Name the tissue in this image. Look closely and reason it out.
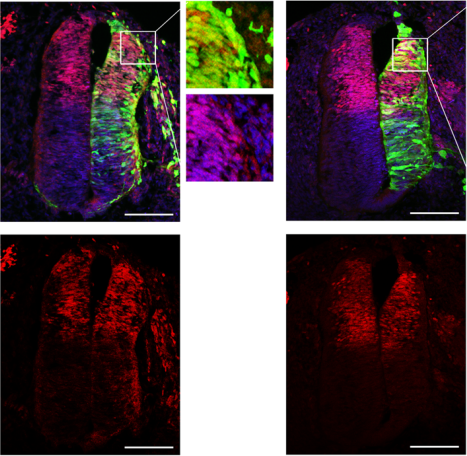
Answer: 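Transverse sections of a bilaterally symmetric tube with a narrow slit-like central lumen. A thick wall of densely packed, radially elongated nuclei on each side of the lumen.
Spinal cord.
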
